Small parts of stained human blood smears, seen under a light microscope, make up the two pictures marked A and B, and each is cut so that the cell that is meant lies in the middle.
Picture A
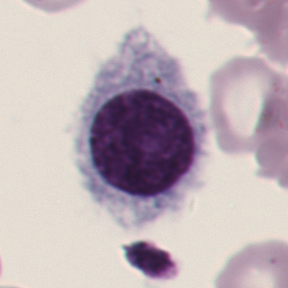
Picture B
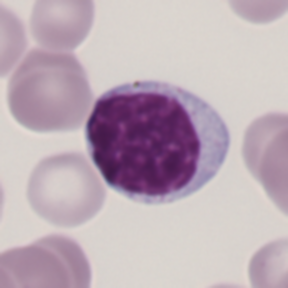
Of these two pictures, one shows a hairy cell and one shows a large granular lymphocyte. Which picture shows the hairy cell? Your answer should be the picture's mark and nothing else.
A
